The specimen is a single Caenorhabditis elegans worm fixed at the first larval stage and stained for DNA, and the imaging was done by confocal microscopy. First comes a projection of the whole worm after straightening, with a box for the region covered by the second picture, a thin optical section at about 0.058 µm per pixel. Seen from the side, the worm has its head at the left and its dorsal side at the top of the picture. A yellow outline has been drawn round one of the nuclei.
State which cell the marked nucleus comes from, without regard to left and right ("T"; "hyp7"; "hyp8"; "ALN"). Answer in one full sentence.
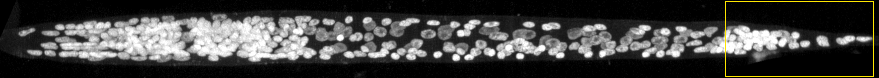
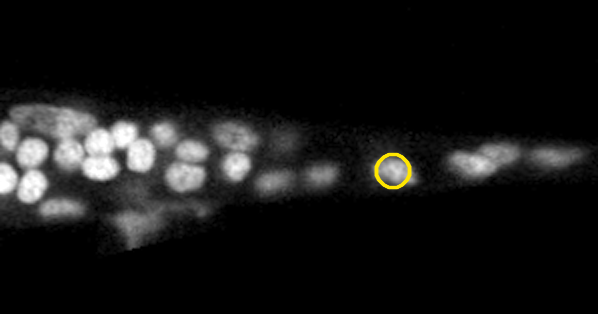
The marked nucleus is that of hyp8, a hypodermal cell (hyp).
